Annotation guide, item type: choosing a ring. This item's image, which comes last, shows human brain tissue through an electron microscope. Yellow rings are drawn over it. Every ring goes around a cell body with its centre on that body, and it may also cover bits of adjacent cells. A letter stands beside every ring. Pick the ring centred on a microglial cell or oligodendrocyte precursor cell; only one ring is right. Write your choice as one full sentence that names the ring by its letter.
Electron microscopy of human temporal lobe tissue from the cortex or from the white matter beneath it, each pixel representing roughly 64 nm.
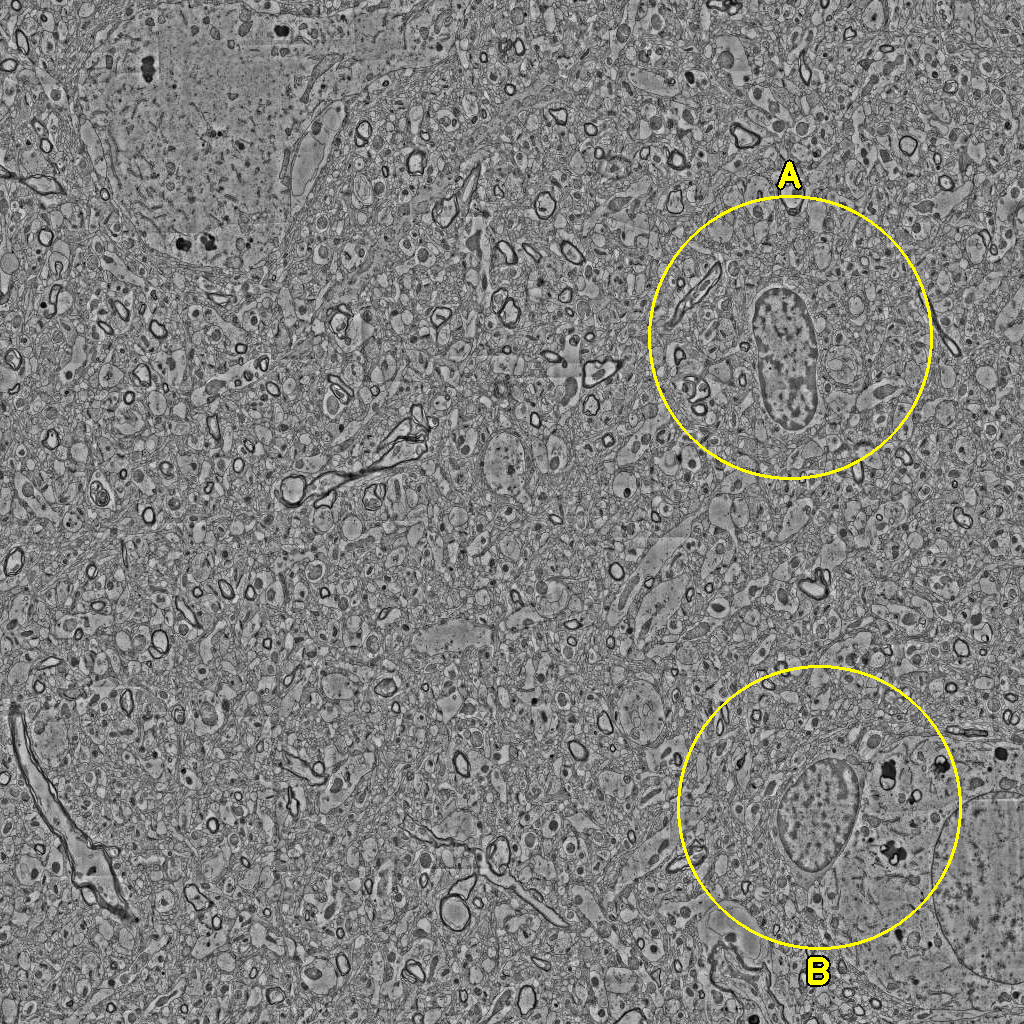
In the image, Ring A is centred on a cell of the kind requested.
